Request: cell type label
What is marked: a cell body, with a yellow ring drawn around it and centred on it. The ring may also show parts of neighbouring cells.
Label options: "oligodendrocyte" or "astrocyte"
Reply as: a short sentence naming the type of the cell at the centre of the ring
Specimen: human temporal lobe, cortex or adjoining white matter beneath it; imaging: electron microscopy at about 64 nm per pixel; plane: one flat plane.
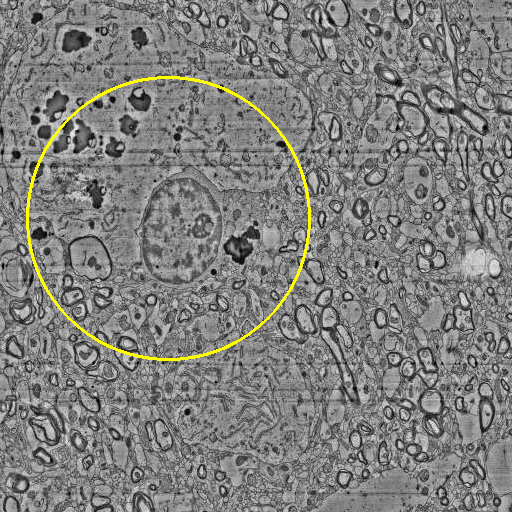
The marked cell body is that of an oligodendrocyte.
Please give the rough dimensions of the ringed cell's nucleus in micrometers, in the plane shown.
In this plane, approximately 7 by 5 micrometers.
